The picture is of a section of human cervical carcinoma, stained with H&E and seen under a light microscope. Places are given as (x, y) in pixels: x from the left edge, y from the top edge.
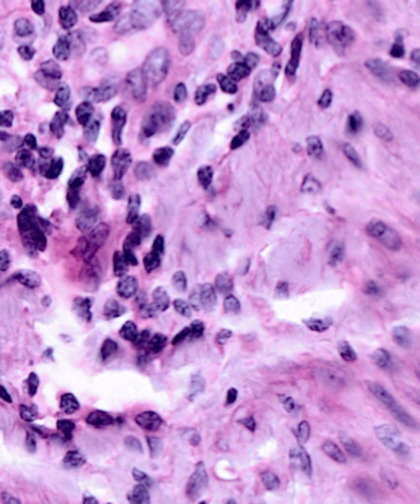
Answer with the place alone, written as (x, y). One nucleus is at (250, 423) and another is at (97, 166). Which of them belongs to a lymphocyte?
(97, 166)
